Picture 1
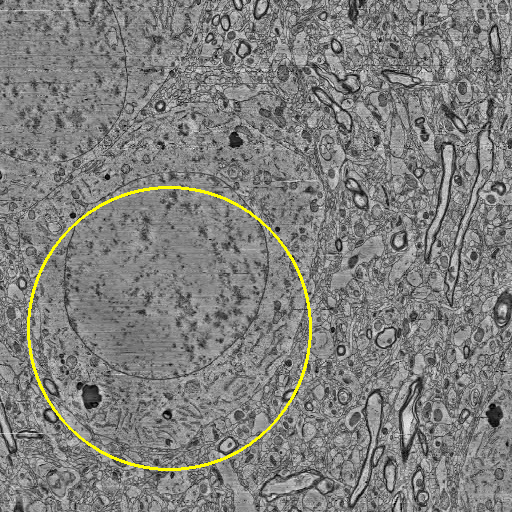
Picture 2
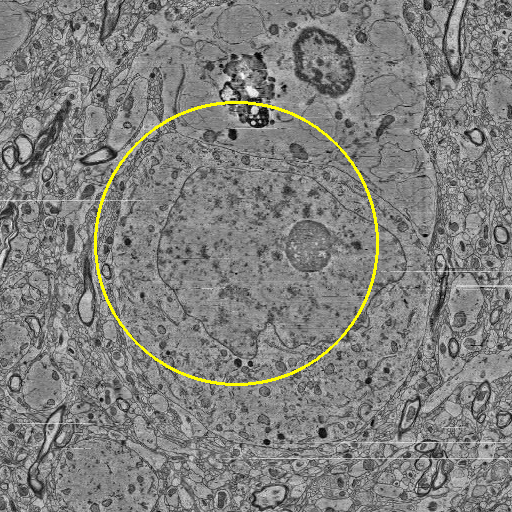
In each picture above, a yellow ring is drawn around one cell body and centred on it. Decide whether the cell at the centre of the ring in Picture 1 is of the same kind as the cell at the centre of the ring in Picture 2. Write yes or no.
yes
